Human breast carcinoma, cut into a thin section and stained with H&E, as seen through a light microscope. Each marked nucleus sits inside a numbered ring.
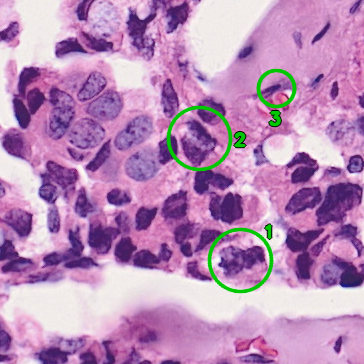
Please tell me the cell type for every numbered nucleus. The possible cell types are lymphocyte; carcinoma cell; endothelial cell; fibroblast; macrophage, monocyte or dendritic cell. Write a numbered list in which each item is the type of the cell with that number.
1. carcinoma cell
2. carcinoma cell
3. endothelial cell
